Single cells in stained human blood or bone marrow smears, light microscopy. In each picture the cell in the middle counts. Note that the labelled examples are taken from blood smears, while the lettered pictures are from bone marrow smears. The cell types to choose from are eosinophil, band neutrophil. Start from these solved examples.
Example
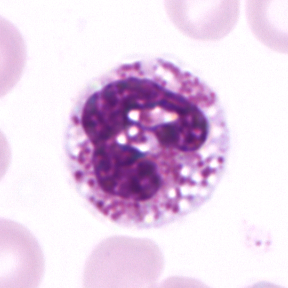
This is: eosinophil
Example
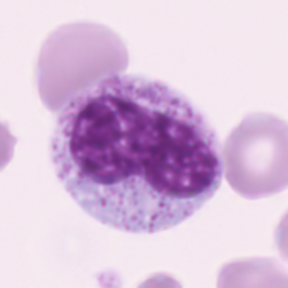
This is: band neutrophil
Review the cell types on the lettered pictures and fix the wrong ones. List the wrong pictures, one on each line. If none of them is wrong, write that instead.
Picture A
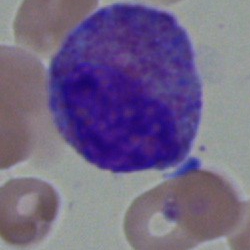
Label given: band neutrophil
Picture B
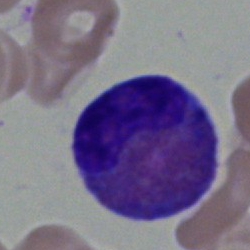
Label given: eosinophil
Wrong: A (band neutrophil); correct: eosinophil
